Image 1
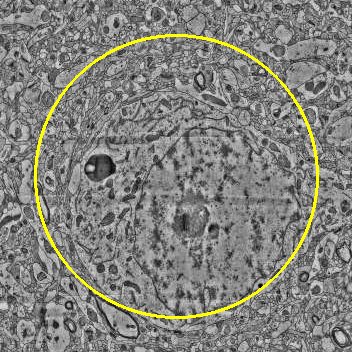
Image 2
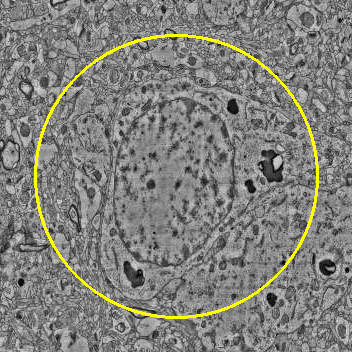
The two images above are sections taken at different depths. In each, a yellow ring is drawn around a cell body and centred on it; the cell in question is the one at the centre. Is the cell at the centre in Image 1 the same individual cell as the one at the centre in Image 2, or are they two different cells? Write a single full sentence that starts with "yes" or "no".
No, the two rings enclose two cells that are not the same.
